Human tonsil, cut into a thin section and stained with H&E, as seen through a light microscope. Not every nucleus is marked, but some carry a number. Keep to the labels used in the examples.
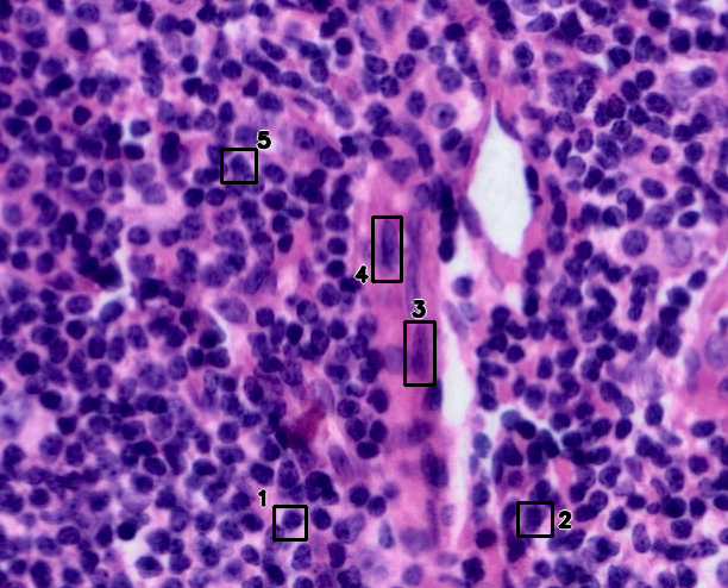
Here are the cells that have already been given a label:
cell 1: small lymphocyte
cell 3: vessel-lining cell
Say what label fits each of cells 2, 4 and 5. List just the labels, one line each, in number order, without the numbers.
small lymphocyte
vessel-lining cell
small lymphocyte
